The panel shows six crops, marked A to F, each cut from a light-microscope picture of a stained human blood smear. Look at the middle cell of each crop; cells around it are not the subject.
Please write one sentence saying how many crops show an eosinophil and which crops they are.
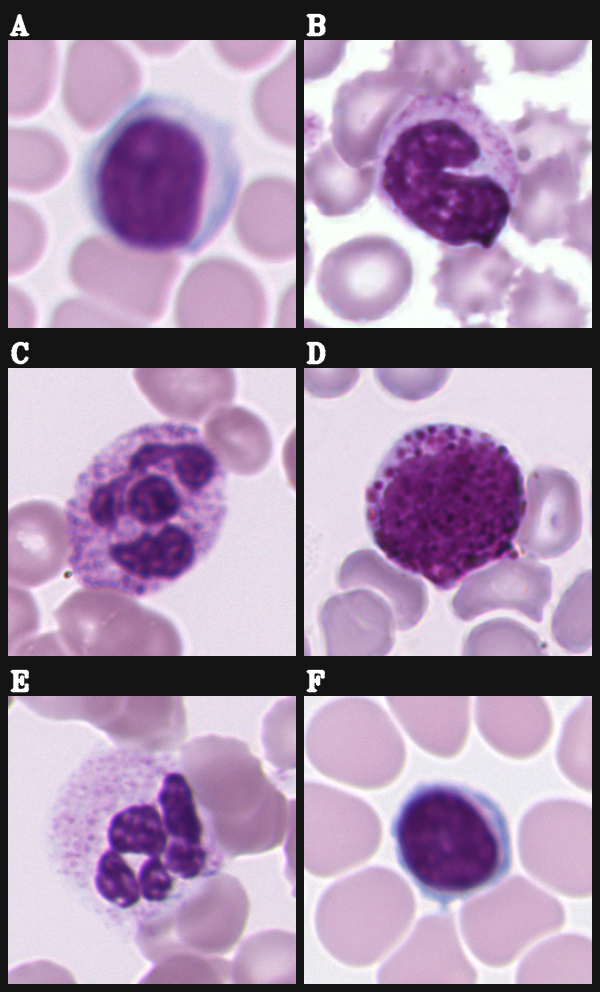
The count, given that no crop shows eosinophils, is zero.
